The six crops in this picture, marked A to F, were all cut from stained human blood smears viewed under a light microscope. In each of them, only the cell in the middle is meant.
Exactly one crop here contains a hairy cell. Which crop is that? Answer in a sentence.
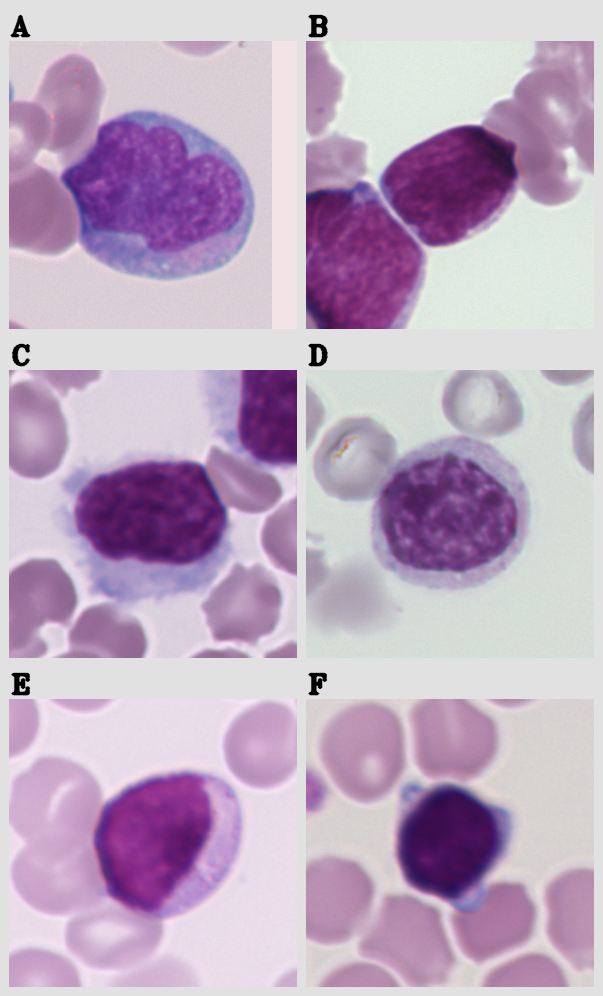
The one that shows a hairy cell is crop C.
